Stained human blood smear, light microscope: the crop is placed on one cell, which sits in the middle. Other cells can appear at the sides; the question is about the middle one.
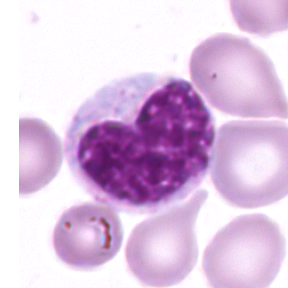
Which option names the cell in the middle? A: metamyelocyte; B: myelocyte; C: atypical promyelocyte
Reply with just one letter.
A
